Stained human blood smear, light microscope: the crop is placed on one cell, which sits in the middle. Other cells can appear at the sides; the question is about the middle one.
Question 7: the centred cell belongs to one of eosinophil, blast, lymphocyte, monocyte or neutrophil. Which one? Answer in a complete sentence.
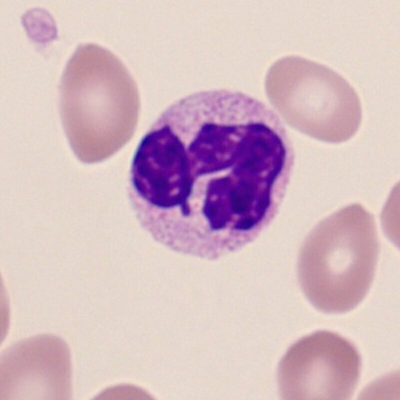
For this crop, the cell in the middle is a neutrophil.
